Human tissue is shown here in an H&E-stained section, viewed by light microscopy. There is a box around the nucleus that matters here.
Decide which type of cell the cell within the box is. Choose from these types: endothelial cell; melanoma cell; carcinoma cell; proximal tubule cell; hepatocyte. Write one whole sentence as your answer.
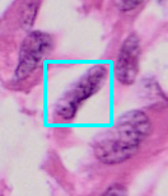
The cell within the box appears to be a melanoma cell.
